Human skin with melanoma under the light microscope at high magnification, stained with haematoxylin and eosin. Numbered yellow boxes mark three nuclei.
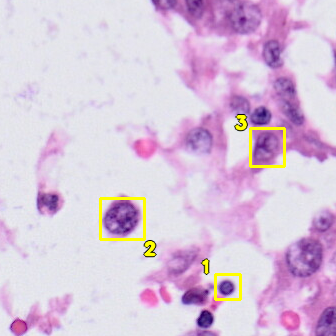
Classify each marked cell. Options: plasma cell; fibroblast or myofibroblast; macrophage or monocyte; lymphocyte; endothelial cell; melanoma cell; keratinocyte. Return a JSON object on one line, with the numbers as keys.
{"1": "lymphocyte", "2": "melanoma cell", "3": "melanoma cell"}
